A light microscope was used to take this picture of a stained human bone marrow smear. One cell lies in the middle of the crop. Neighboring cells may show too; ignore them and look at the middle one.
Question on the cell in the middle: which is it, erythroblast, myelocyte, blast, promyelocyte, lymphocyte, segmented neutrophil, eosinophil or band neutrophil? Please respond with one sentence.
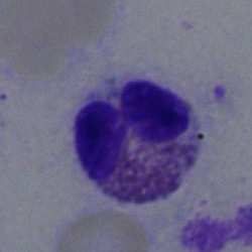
The cell in the middle of the field of view is an eosinophil.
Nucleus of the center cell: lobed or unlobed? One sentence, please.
This cell has a nucleus made up of two or more segments.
